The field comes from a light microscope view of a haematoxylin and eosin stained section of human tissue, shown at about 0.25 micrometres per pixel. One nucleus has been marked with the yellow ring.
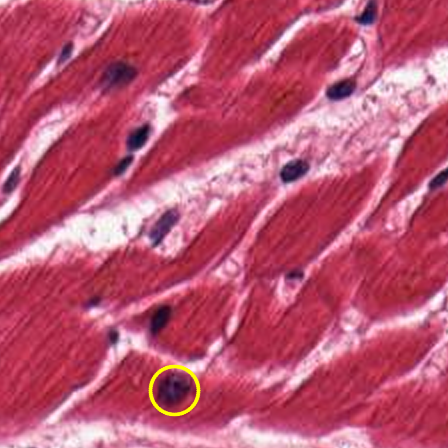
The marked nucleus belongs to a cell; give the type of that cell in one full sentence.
The nucleus with the mark belongs to a cardiomyocyte.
